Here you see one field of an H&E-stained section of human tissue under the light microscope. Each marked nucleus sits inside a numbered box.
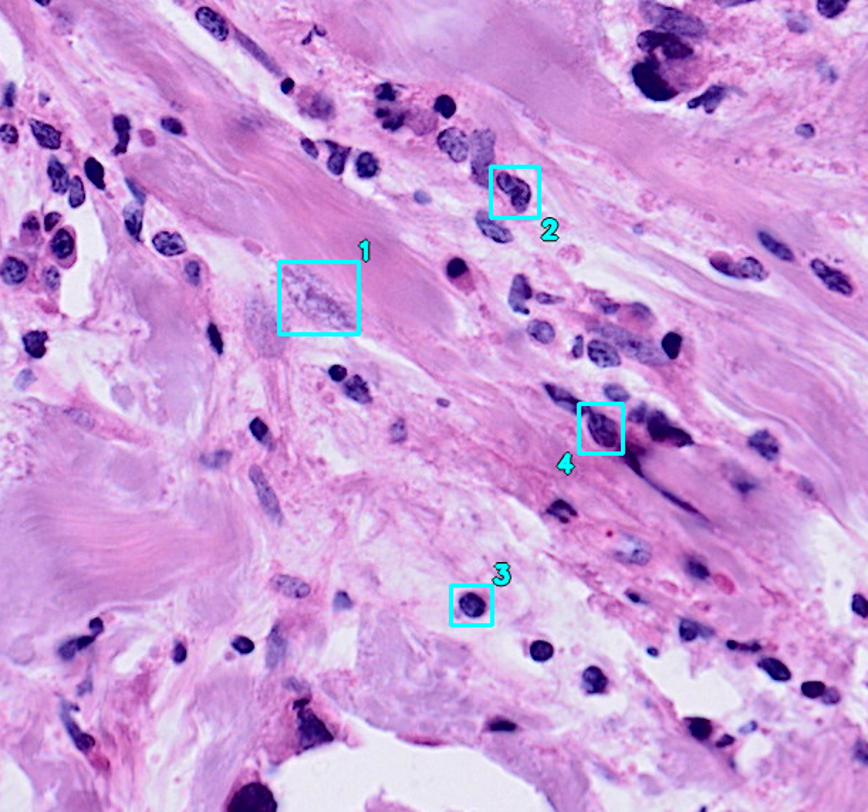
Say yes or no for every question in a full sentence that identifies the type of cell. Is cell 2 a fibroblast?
No, cell 2 is a lymphocyte, not a fibroblast.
